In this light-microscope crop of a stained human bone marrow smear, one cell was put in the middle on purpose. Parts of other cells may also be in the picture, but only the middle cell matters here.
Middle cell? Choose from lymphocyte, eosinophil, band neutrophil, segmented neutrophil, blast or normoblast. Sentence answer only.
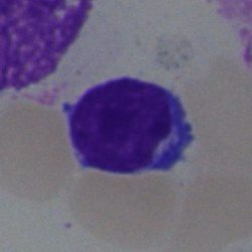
Whatever else lies nearby, the middle cell is a lymphocyte.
